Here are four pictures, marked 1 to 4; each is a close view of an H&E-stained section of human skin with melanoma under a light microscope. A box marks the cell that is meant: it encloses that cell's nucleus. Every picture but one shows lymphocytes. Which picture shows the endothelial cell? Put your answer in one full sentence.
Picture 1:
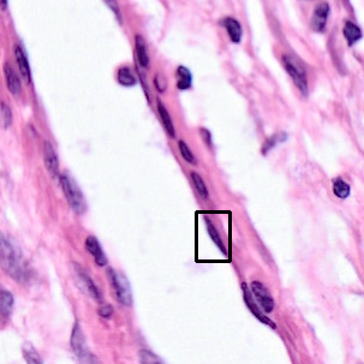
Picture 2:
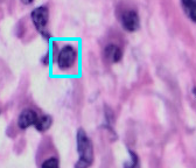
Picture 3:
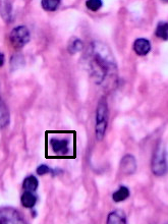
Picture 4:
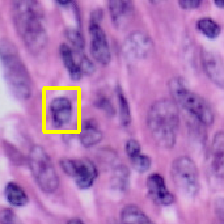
The endothelial cell is the one in picture 1.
